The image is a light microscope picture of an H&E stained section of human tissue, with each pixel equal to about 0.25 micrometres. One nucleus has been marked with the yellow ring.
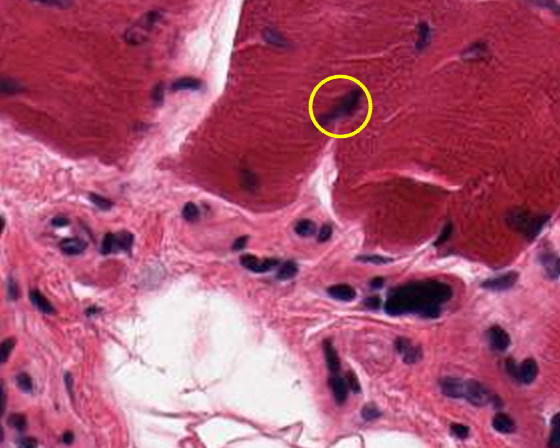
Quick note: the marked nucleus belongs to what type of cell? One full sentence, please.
In this picture it is a skeletal muscle fibre whose nucleus is marked.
